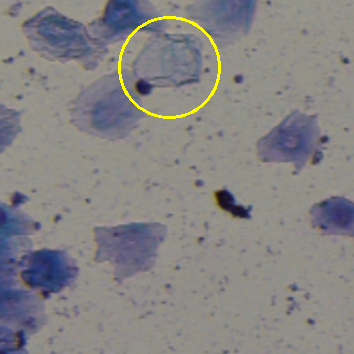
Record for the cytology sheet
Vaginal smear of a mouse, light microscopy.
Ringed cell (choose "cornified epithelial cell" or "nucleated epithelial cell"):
cornified epithelial cell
